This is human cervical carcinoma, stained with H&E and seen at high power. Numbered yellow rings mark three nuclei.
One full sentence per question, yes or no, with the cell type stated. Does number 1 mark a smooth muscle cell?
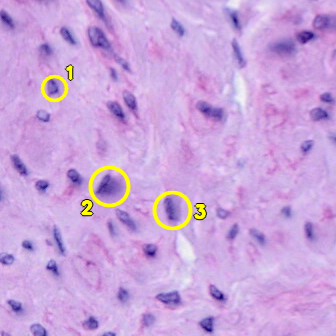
Yes, the cell that the number 1 labels is a smooth muscle cell.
